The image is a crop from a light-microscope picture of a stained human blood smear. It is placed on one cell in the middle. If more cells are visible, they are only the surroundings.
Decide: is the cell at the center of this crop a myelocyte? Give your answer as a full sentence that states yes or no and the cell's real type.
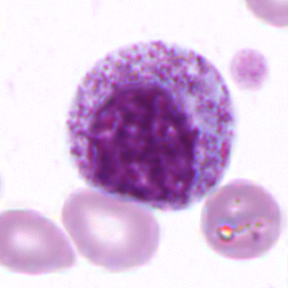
Yes, the cell found at the centre of the crop is a myelocyte.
